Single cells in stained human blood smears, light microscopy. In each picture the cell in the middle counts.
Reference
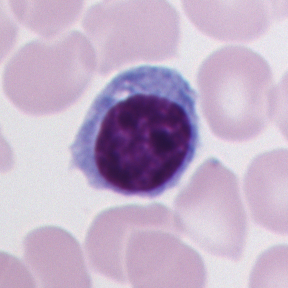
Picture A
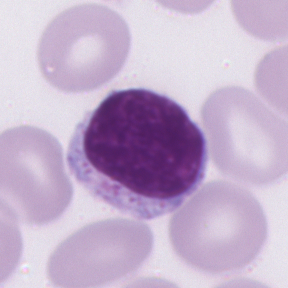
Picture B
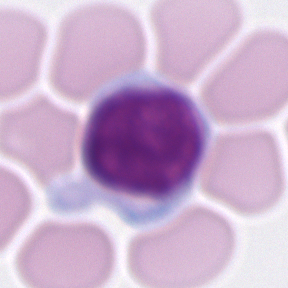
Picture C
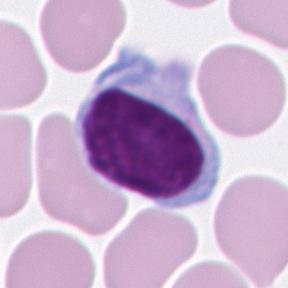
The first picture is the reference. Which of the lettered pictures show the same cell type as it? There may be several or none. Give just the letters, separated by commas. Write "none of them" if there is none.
B, C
